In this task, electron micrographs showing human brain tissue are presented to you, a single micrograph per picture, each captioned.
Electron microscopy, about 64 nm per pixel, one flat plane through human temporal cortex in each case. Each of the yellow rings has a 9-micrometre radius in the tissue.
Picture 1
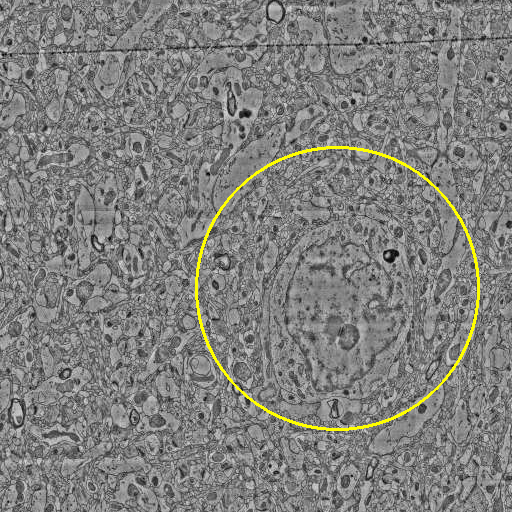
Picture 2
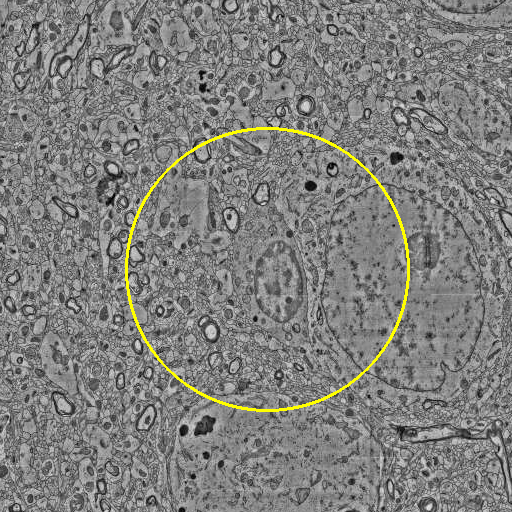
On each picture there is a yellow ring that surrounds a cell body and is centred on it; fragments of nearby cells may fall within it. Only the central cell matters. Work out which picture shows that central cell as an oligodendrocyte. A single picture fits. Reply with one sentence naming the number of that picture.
Of all the pictures, number 2 has the right cell in the centre of its ring.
